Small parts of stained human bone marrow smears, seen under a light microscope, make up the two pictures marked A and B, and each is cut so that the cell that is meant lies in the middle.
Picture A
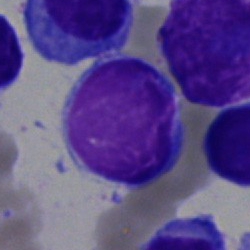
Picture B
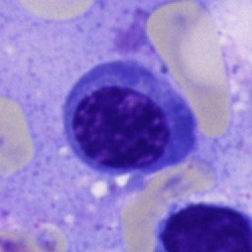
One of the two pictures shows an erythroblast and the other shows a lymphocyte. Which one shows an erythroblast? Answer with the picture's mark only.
B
